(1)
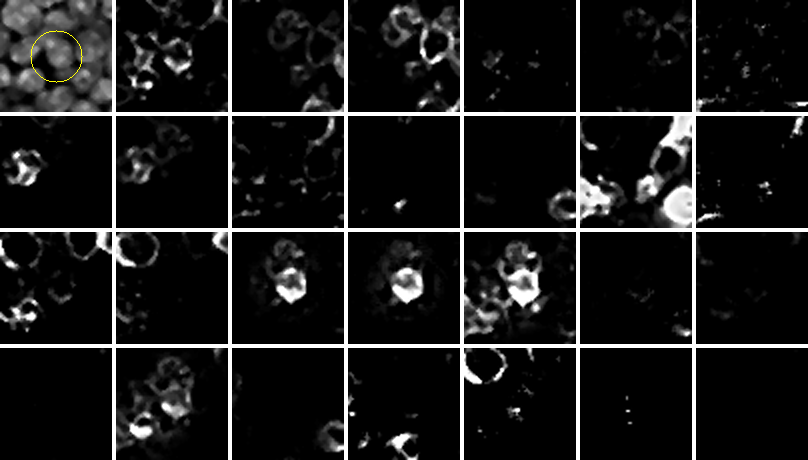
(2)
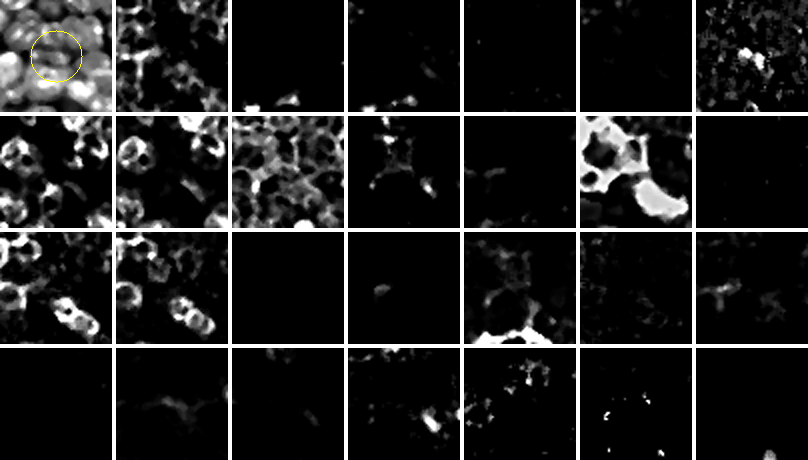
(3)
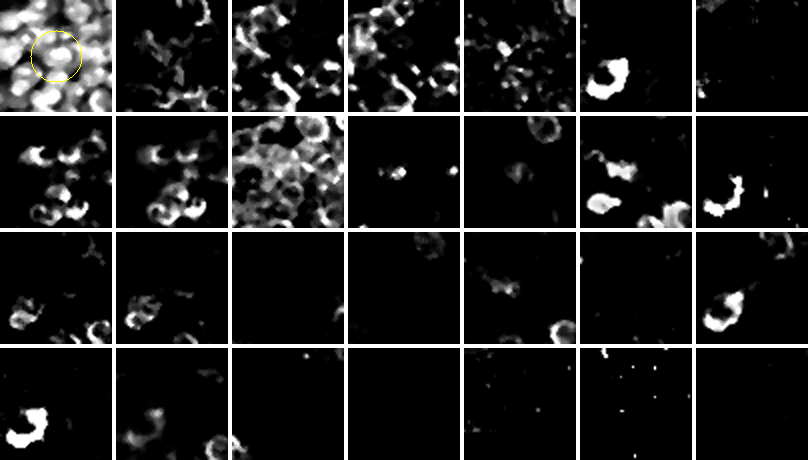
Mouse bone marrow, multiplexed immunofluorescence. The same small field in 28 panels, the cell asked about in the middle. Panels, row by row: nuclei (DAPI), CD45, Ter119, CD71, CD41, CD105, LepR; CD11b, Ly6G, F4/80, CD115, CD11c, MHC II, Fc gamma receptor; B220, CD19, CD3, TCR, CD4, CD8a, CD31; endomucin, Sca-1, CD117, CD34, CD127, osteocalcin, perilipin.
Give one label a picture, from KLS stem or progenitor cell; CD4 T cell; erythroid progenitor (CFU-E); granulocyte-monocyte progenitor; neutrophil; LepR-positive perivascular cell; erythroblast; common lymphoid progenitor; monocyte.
(1) CD4 T cell
(2) LepR-positive perivascular cell
(3) monocyte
